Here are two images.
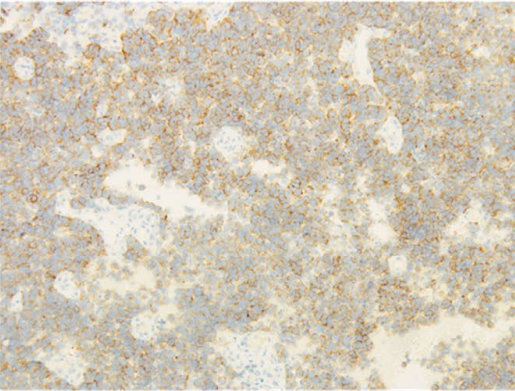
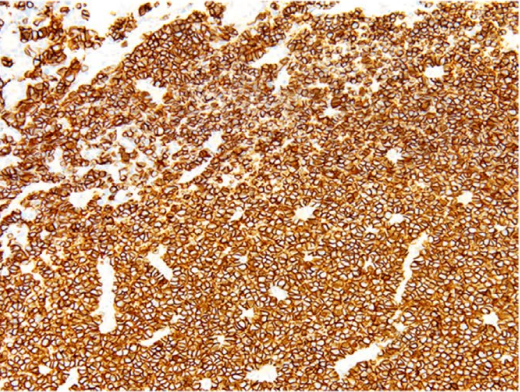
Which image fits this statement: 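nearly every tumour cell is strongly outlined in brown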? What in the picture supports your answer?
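Second image: intense brown rims surround almost every cell across the whole field. First image: only faint brown rims on the cells, with much pale blue background showing. On this evidence: the second image.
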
